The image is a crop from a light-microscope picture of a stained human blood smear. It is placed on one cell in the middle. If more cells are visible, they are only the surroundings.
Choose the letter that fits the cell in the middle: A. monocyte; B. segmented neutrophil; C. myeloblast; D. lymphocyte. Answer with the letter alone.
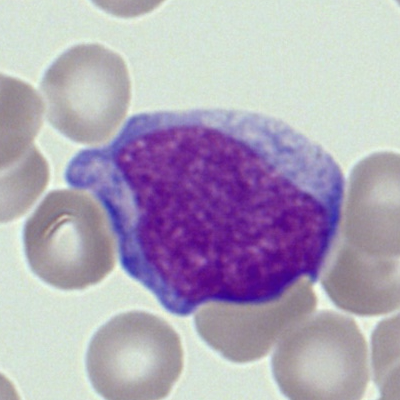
C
